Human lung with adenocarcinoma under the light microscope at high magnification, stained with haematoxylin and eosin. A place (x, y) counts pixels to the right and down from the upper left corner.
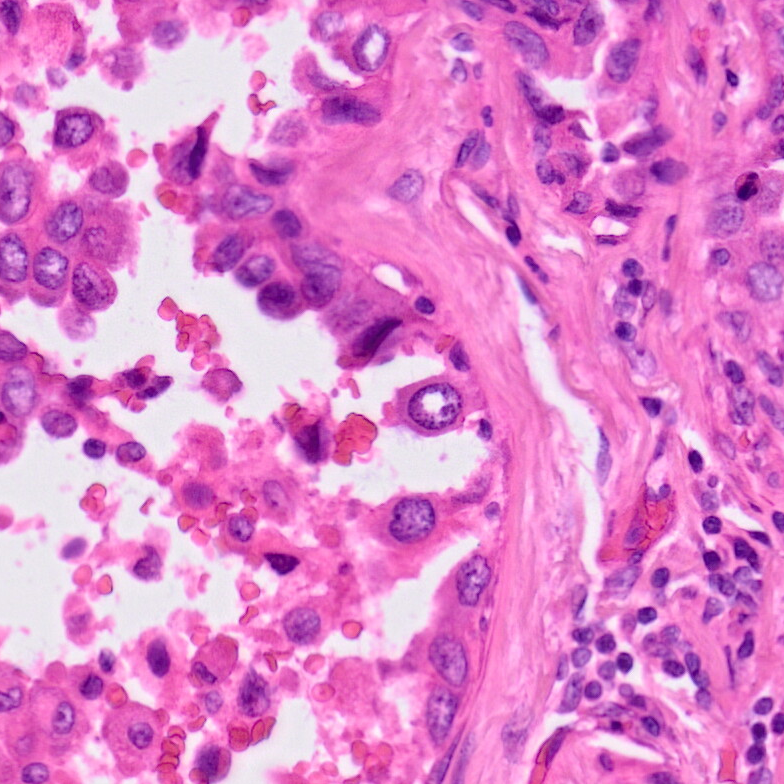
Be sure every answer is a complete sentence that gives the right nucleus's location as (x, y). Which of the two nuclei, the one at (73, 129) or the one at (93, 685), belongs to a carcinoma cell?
Out of the two, it is the nucleus at (73, 129) that belongs to a carcinoma cell.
